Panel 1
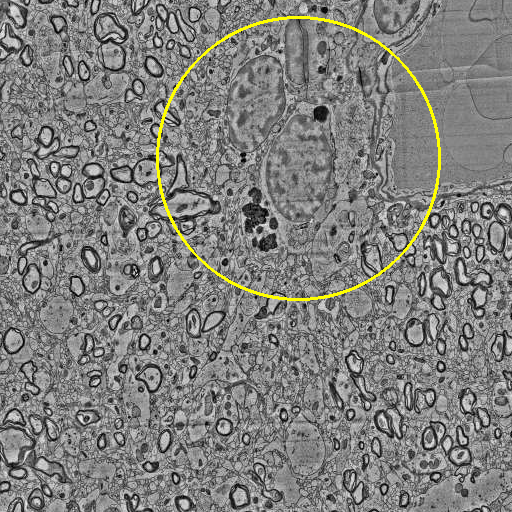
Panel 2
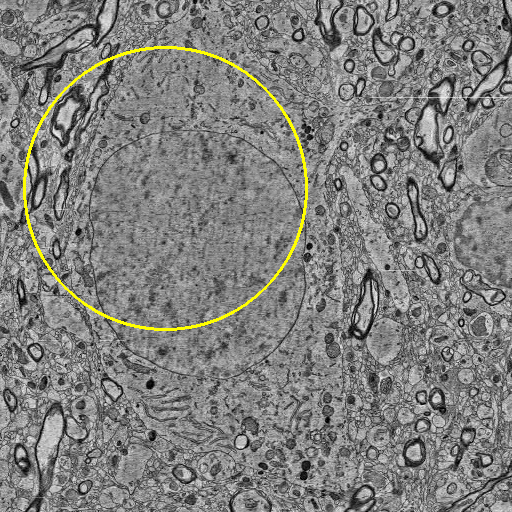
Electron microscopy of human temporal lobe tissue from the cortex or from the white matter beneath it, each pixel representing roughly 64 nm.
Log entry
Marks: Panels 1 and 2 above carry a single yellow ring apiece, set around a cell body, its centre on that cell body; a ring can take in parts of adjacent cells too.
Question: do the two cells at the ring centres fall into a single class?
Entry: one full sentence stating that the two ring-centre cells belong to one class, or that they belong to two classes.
The two ring-centre cells in Panels 1 and 2 belong to two classes.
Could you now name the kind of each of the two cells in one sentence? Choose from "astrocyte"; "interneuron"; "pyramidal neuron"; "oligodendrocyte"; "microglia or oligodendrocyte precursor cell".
The first ring encloses an oligodendrocyte; the second ring encloses a pyramidal neuron.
